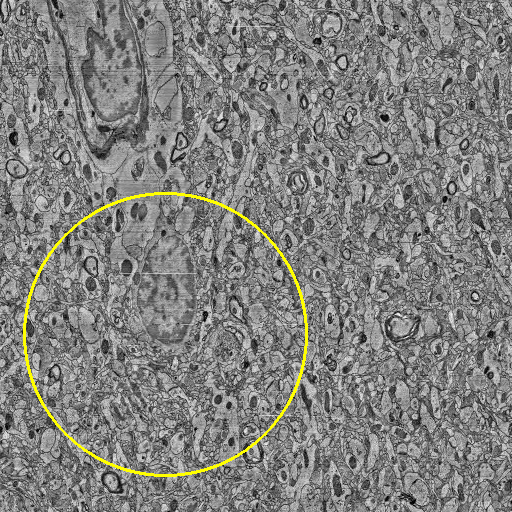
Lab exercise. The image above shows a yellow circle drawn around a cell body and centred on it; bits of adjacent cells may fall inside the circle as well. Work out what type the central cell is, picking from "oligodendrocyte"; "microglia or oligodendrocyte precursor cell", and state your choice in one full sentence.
In the image above, the cell at the centre of the yellow circle is an oligodendrocyte.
